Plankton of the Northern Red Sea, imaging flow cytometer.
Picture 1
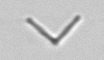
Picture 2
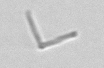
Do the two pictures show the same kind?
Yes, both are Nanoneis.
